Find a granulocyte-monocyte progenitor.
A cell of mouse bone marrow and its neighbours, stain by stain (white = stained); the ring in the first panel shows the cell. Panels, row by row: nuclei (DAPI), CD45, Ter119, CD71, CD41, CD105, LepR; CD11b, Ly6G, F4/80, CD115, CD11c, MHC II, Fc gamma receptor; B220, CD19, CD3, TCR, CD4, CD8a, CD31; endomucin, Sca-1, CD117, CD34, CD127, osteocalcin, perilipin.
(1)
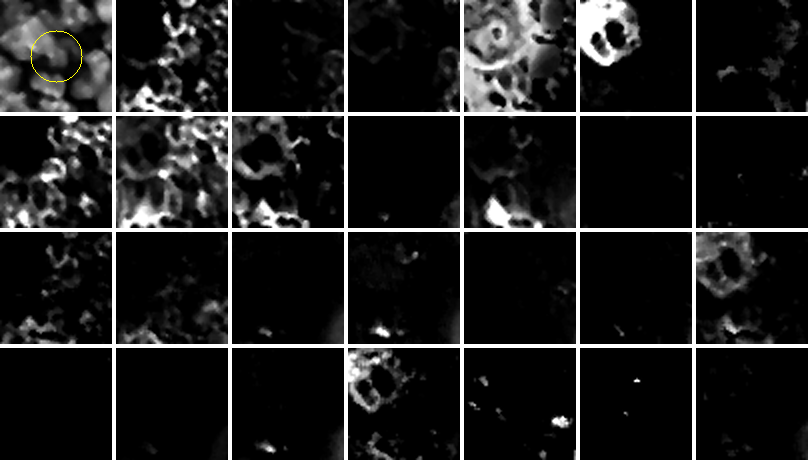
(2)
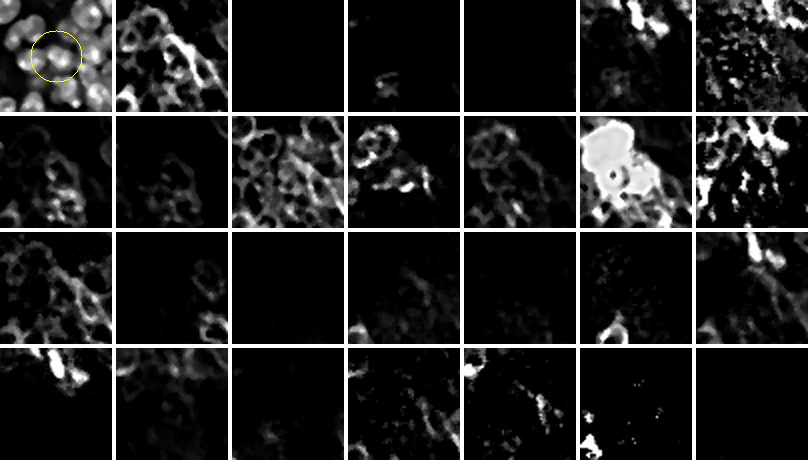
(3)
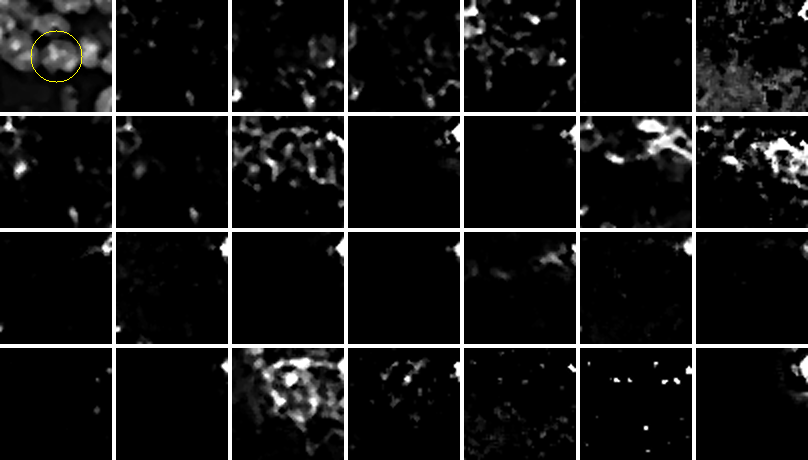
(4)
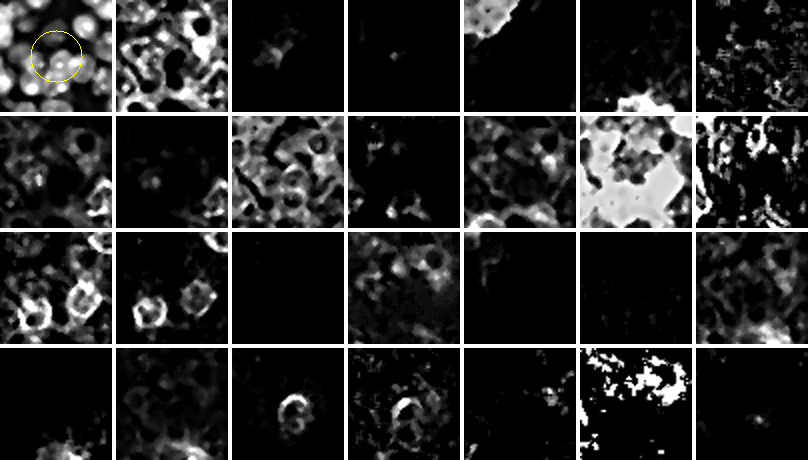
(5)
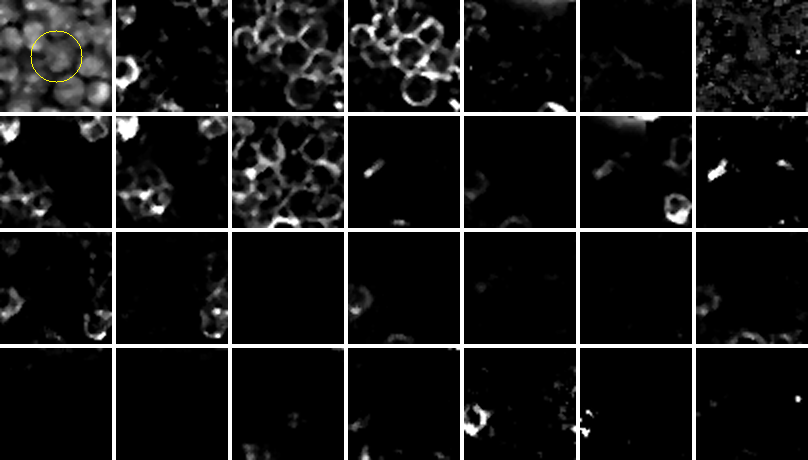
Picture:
3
